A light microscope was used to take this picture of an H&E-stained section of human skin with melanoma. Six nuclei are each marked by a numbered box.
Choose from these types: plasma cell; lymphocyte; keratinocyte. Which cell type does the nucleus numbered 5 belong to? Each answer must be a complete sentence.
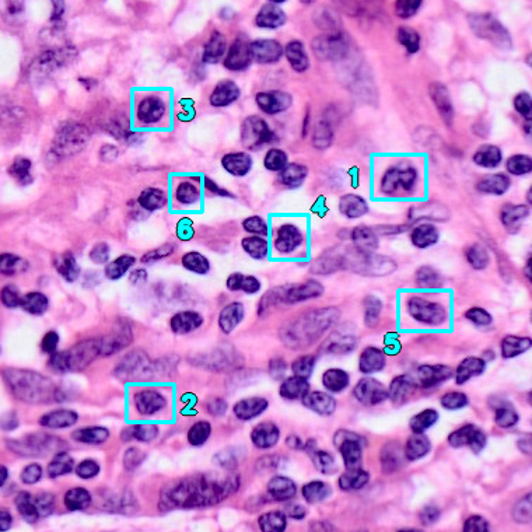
Looking at the numbered marks, cell 5 is a lymphocyte.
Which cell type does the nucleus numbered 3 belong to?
Numbered cell 3 is a plasma cell in this tissue section.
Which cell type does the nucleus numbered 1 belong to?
In the tissue shown, cell 1 is a plasma cell.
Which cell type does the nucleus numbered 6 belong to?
The cell whose nucleus carries the number 6 is a lymphocyte.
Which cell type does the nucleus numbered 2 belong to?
Among the marked nuclei, number 2 belongs to a lymphocyte.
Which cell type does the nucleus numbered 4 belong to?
The nucleus marked 4 is the nucleus of a lymphocyte.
